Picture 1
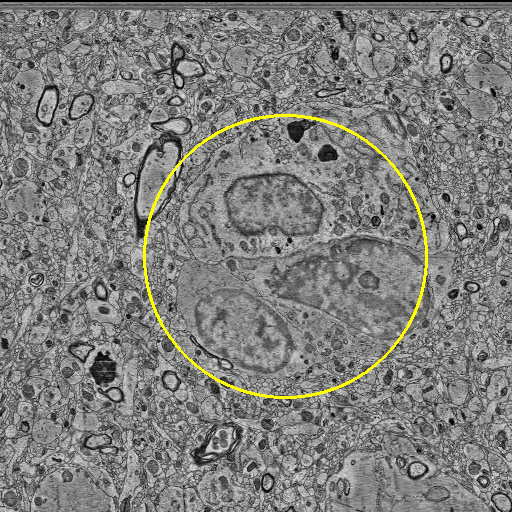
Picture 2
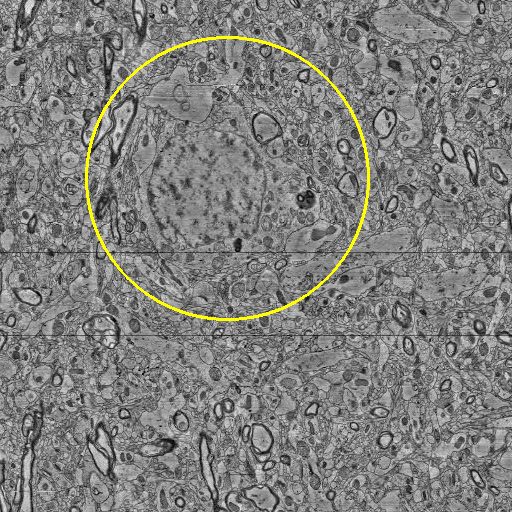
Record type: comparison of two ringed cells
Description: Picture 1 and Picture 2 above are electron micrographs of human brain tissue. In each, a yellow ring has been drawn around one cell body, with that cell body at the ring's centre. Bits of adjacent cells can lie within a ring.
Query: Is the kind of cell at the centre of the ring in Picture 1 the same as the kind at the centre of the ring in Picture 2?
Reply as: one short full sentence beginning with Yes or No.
No, the two ringed cells are of two separate kinds.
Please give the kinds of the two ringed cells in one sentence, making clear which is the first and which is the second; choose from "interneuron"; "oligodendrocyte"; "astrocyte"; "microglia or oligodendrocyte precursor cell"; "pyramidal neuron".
In the second picture the ringed cell is an interneuron; in the first it is an oligodendrocyte.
